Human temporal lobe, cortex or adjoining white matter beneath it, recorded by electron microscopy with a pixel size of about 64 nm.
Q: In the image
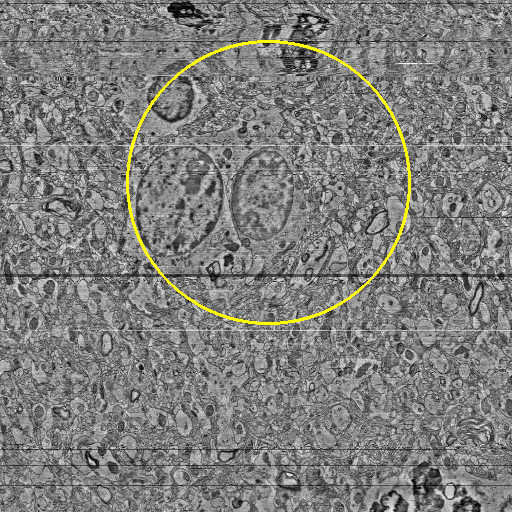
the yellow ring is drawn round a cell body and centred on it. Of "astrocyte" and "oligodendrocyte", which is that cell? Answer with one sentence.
The cell centred in the ring is an oligodendrocyte.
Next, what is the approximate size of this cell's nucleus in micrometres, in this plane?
About 6 by 4 micrometres; in this plane the nucleus is clearly longer than it is wide.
